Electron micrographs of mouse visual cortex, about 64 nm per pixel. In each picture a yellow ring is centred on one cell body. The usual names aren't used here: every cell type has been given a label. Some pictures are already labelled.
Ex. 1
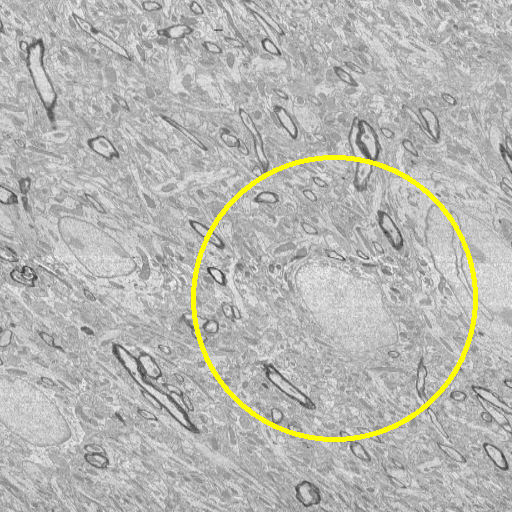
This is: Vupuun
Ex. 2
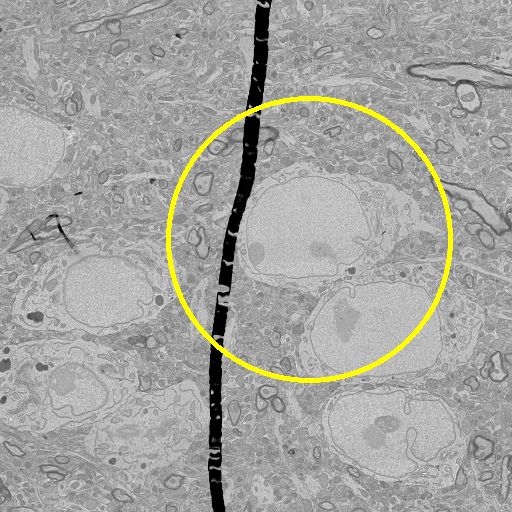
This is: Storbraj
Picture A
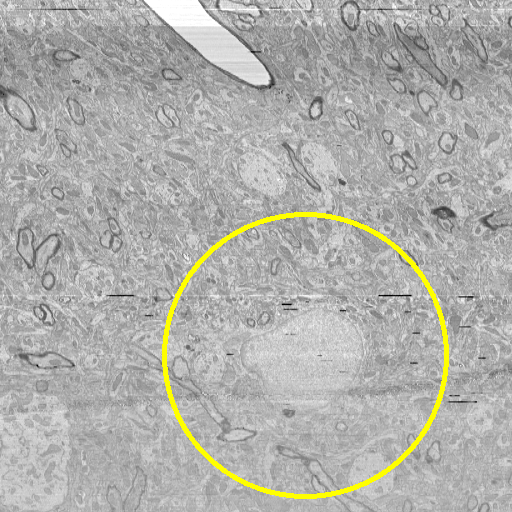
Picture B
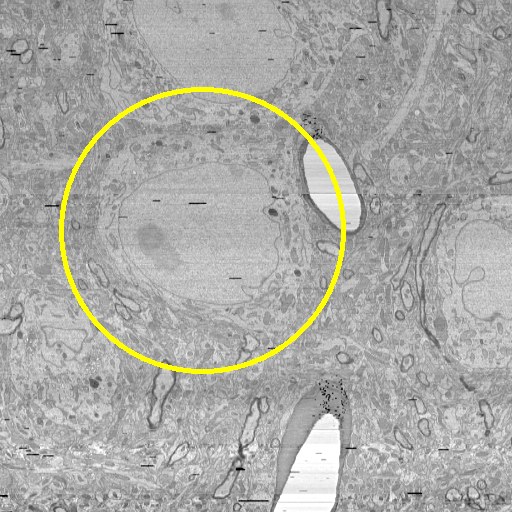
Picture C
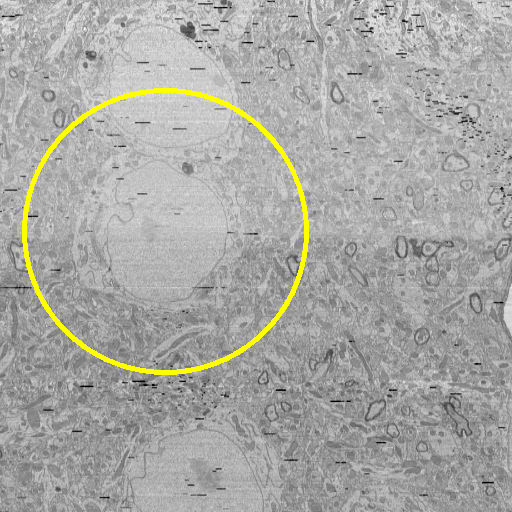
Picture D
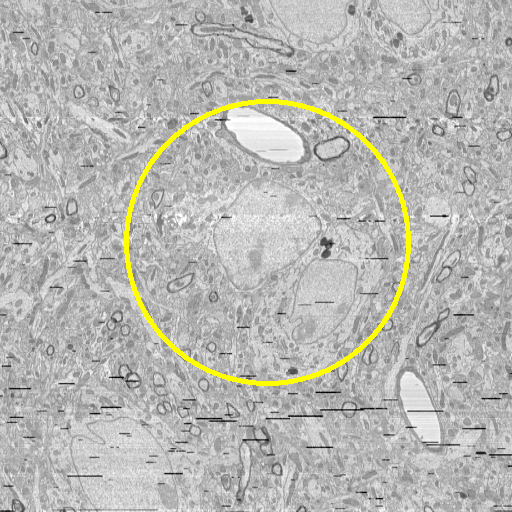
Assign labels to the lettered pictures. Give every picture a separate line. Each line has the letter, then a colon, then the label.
A: Vupuun
B: Storbraj
C: Storbraj
D: Vupuun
